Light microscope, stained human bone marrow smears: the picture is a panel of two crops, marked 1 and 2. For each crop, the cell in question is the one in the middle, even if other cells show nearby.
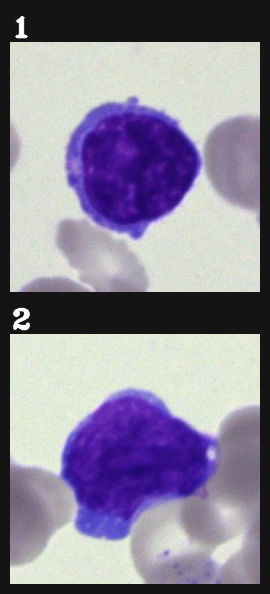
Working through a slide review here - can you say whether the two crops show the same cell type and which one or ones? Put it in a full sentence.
No, crop 1 displays a lymphocyte and crop 2 displays a blast.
